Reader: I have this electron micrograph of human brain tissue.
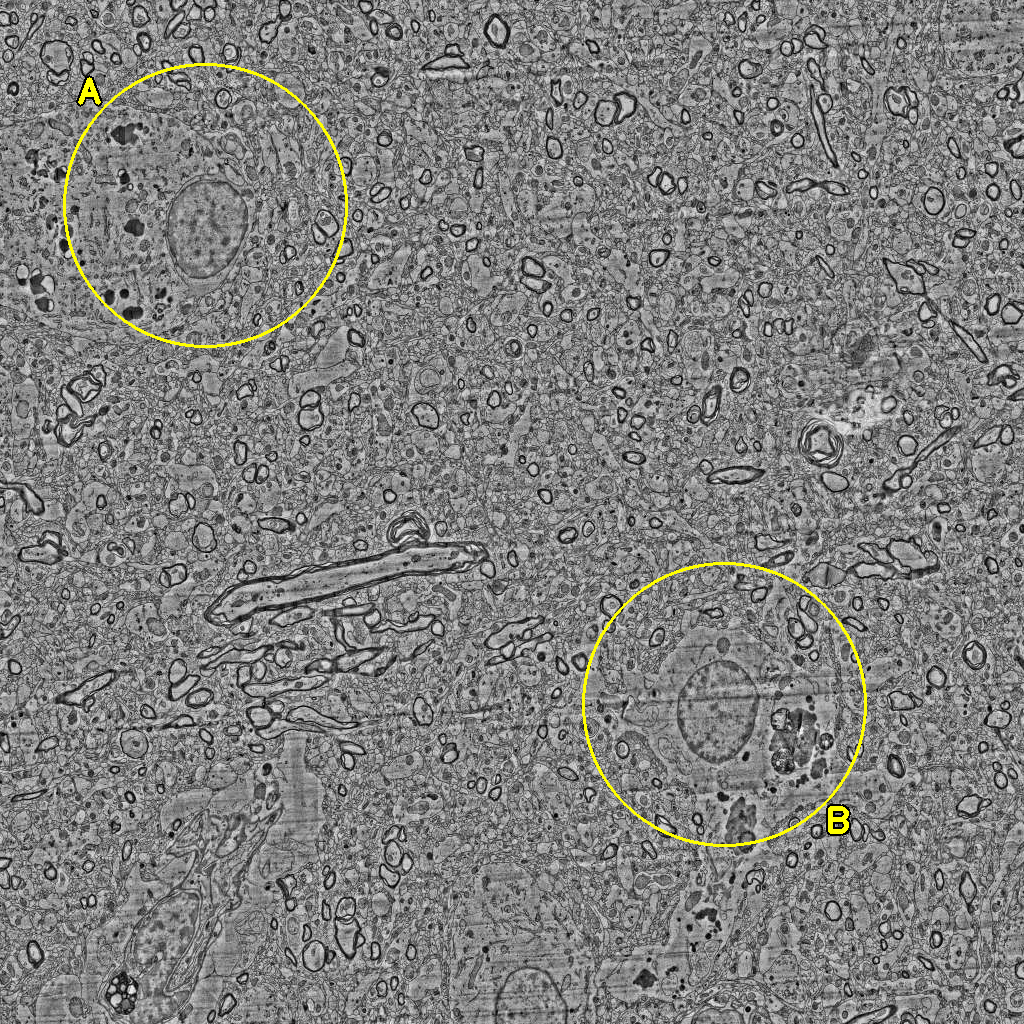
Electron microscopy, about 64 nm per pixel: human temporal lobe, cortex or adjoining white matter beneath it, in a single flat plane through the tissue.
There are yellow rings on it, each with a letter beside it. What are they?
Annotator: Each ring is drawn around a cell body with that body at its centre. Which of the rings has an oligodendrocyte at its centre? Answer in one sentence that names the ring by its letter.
That cell sits at the centre of ring A.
